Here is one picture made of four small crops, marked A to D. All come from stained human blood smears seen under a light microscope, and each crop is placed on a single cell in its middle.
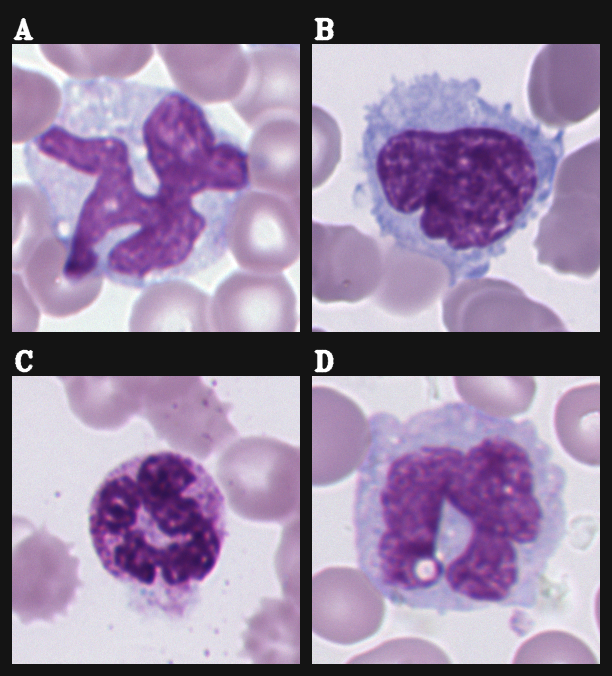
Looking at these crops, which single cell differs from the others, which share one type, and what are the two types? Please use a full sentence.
In this set the other crops all show monocytes, and crop C shows a neutrophil.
